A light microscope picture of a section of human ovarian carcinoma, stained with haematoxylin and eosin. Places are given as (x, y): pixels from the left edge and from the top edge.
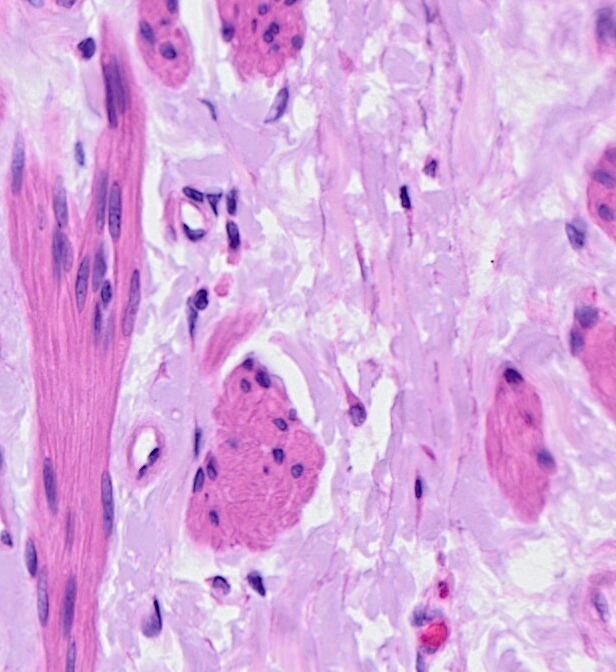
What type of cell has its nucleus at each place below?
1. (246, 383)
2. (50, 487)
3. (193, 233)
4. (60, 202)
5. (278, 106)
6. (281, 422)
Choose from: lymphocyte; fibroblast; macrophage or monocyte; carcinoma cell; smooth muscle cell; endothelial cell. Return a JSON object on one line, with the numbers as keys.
{"1": "smooth muscle cell", "2": "smooth muscle cell", "3": "endothelial cell", "4": "smooth muscle cell", "5": "fibroblast", "6": "smooth muscle cell"}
